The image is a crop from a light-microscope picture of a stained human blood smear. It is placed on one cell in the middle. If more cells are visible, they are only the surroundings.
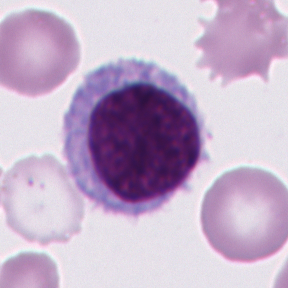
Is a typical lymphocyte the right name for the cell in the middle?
no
